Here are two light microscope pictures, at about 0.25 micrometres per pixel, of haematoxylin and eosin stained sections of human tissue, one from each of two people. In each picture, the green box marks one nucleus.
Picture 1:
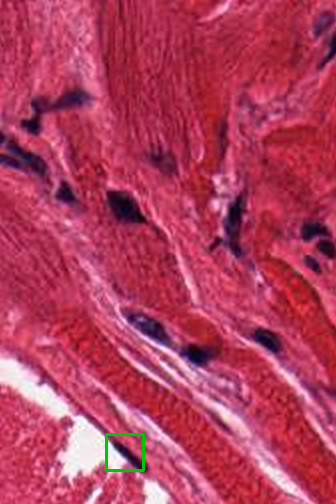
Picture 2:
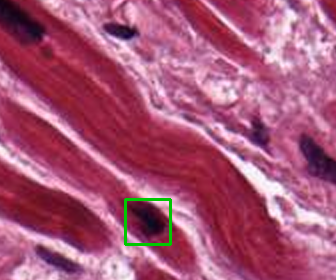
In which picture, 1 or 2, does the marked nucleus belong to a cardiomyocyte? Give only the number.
2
